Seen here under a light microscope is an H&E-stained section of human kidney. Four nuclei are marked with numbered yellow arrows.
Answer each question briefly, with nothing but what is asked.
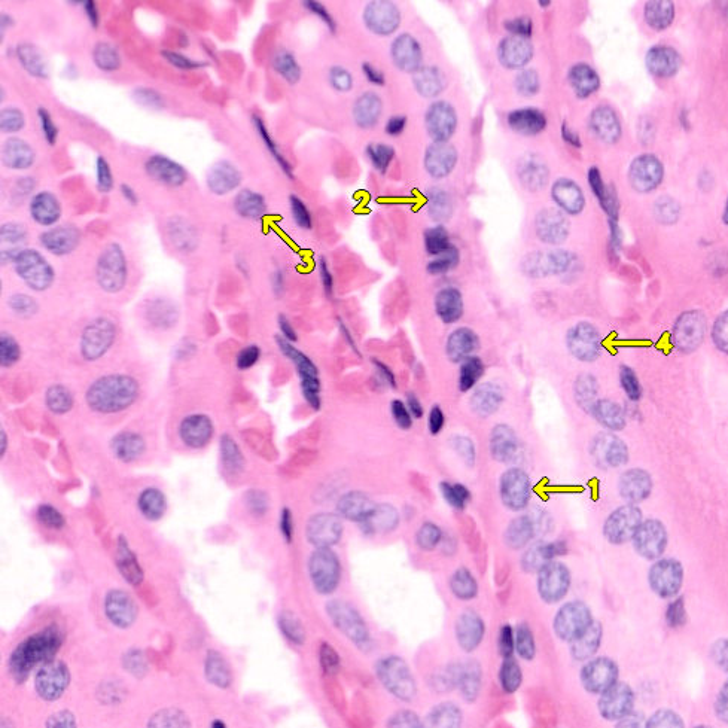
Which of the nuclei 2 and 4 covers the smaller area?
2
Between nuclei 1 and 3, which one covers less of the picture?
3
